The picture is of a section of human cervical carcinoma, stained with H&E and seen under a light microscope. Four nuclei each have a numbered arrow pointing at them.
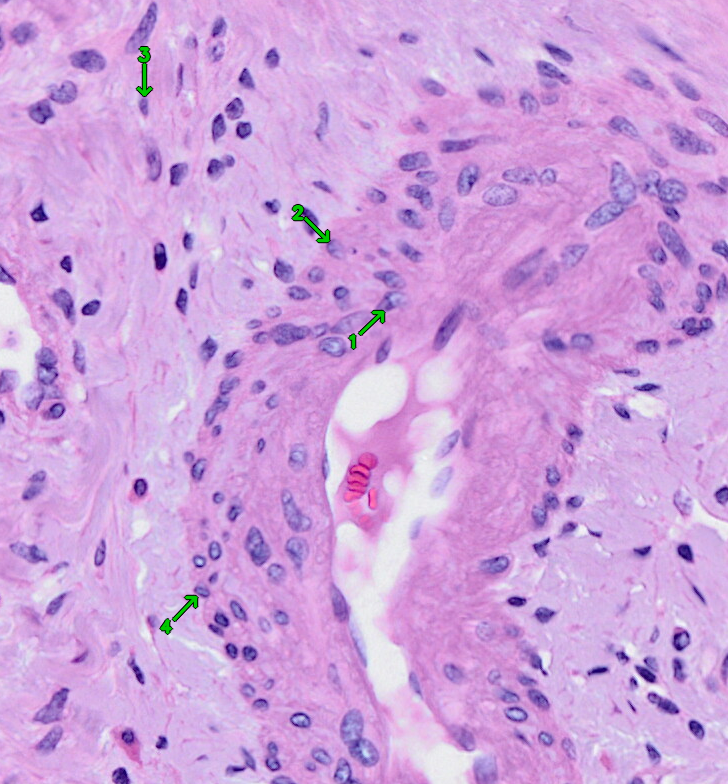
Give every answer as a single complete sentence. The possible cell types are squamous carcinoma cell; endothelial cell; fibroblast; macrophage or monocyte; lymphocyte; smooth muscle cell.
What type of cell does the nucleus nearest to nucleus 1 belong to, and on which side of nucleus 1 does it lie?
The nearest nucleus is that of a smooth muscle cell and lies above nucleus 1.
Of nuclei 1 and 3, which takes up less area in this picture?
Nucleus 3 is the smaller one; nucleus 1 covers about 4 times its area.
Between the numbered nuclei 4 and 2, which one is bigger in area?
Number 2 is larger; its area is about 2 times that of number 4.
